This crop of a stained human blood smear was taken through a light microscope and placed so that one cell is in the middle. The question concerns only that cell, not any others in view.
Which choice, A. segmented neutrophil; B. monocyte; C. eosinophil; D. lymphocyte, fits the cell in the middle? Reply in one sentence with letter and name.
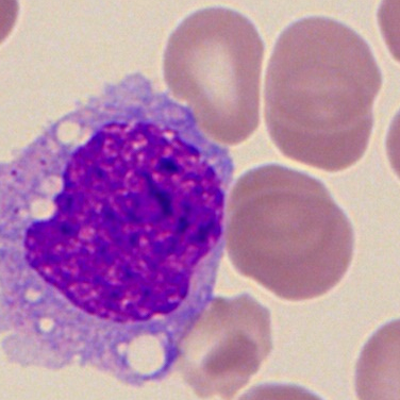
Of the choices given, option B is right, as the central cell is a monocyte.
